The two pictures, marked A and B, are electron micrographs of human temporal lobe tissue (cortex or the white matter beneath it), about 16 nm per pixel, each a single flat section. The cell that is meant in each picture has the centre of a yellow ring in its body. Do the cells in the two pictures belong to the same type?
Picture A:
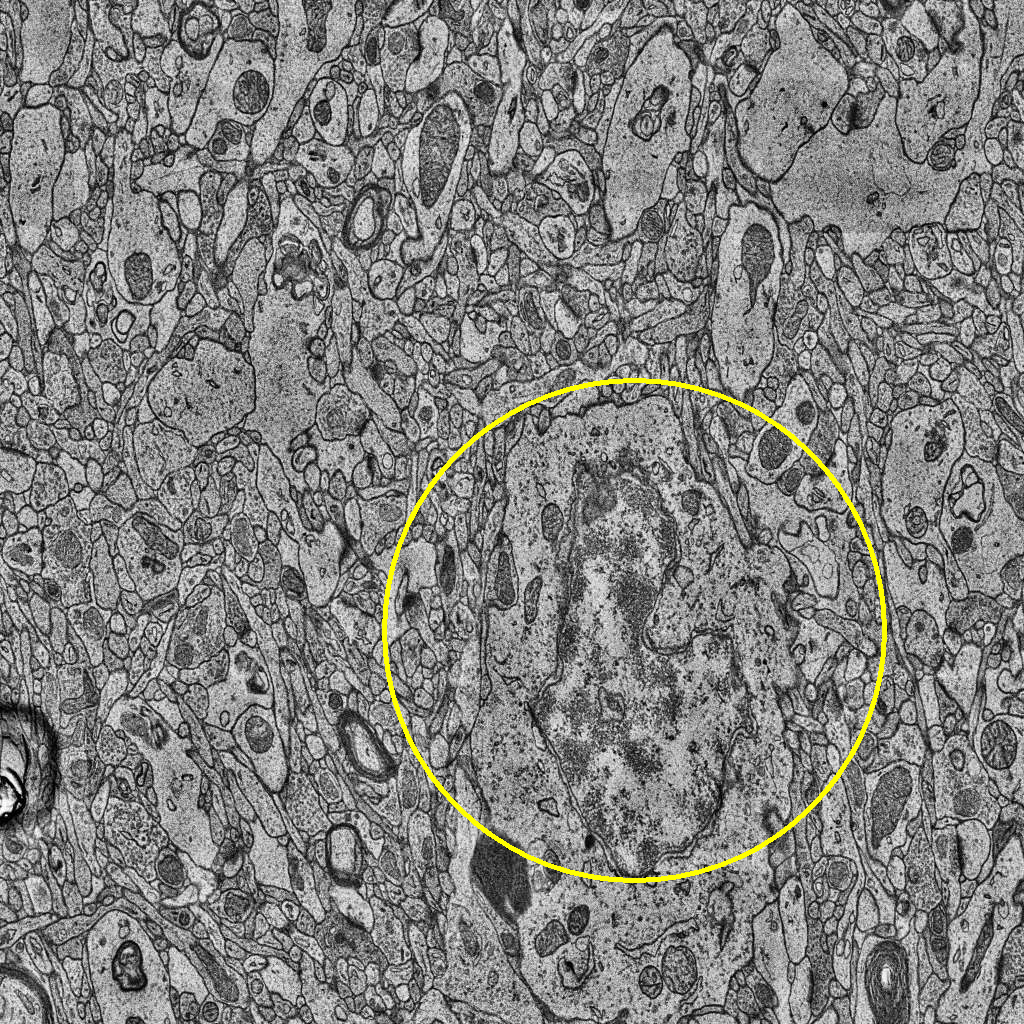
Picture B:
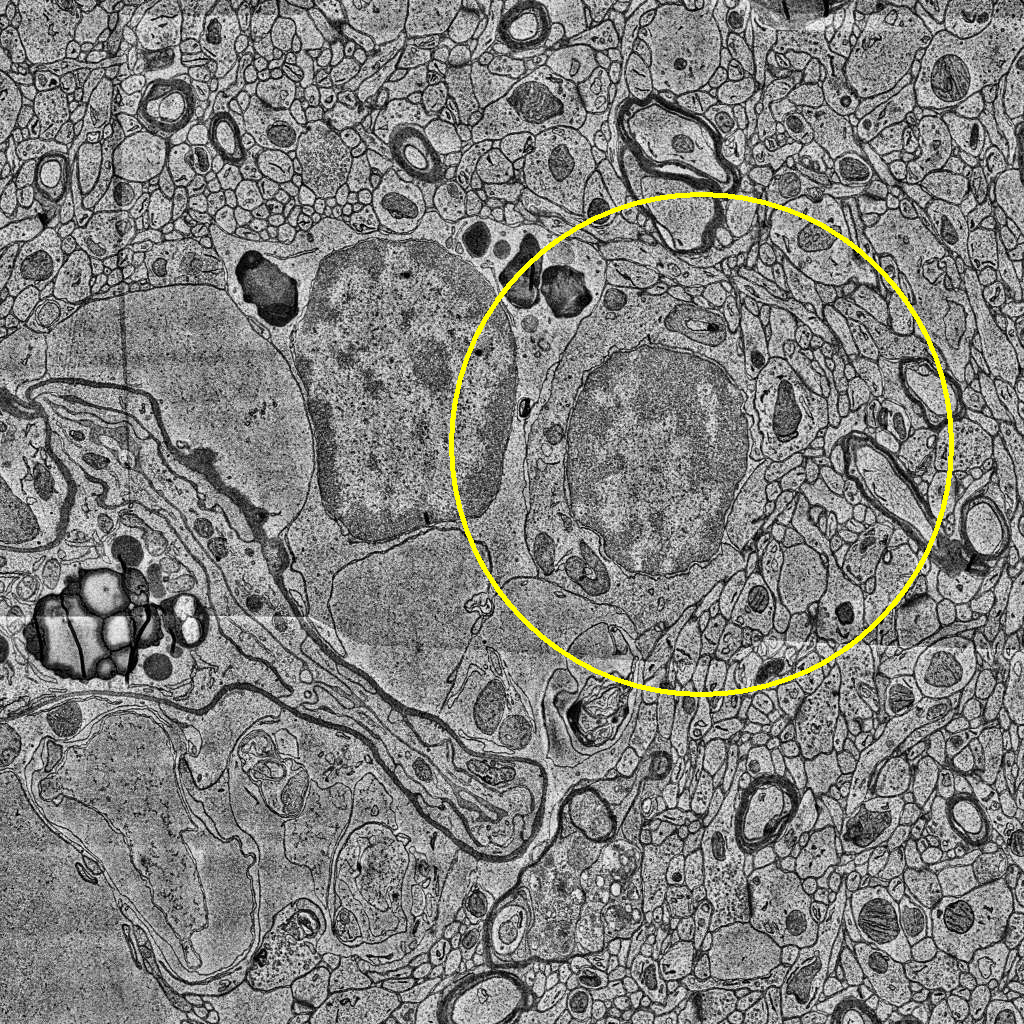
No, they differ: the cell is an interneuron in picture A and an oligodendrocyte in picture B.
